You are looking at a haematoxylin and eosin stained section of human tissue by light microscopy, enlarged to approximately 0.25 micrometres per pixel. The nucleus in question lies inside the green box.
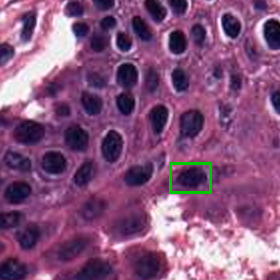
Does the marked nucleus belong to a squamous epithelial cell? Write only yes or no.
yes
